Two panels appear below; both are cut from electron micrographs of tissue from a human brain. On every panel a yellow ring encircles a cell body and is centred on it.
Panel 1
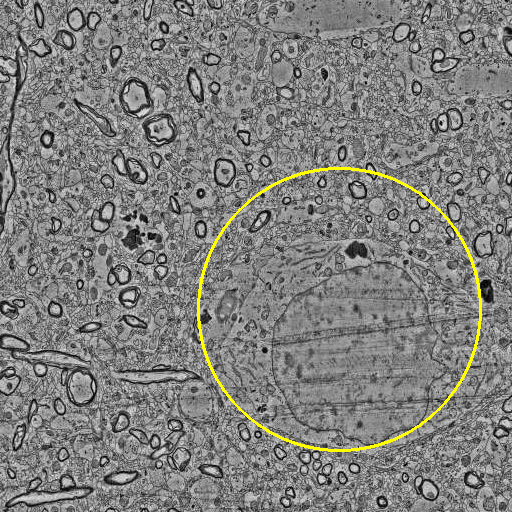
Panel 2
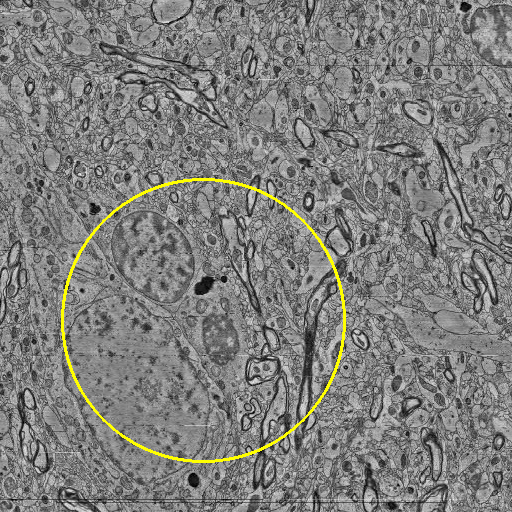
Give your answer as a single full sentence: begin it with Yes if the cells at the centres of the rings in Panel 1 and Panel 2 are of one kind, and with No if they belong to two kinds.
No, the cells in the middle of the rings in Panels 1 and 2 are of two kinds.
